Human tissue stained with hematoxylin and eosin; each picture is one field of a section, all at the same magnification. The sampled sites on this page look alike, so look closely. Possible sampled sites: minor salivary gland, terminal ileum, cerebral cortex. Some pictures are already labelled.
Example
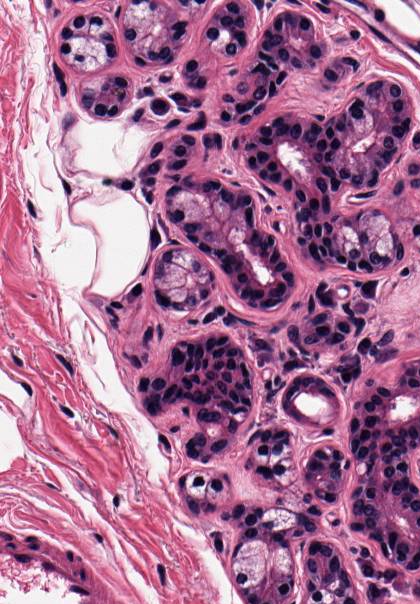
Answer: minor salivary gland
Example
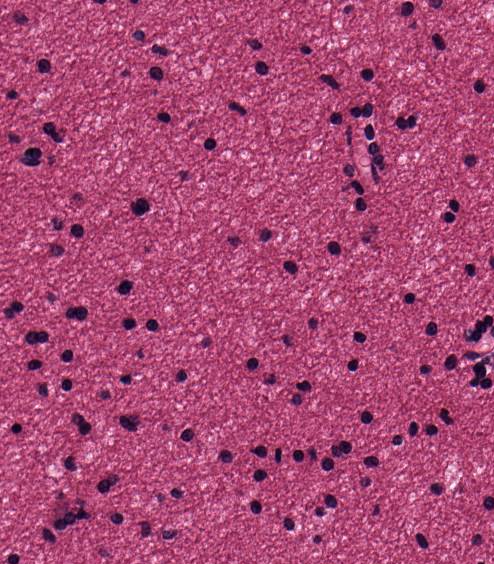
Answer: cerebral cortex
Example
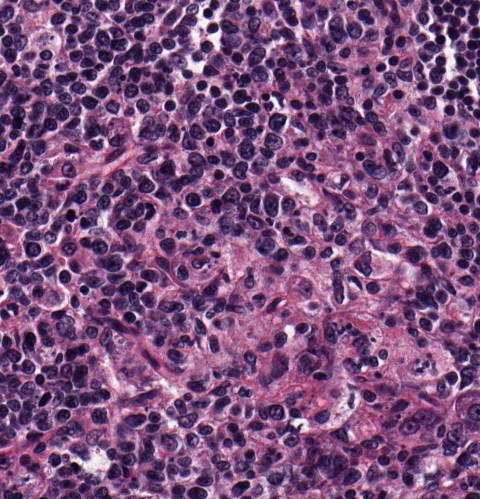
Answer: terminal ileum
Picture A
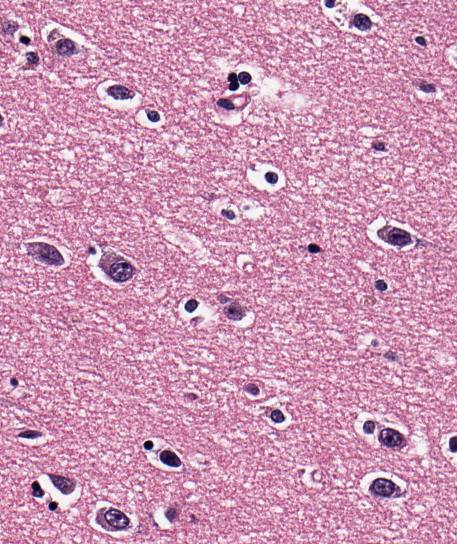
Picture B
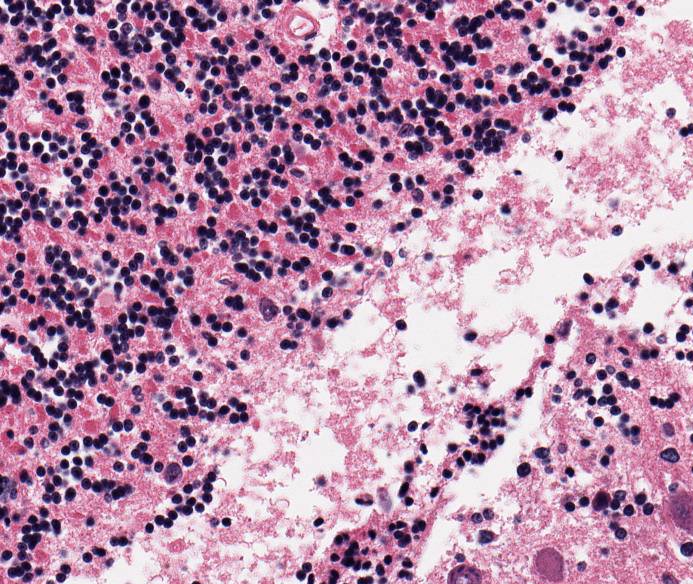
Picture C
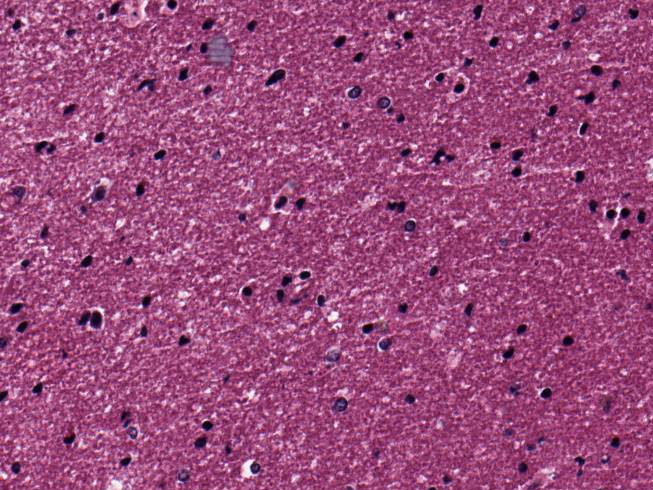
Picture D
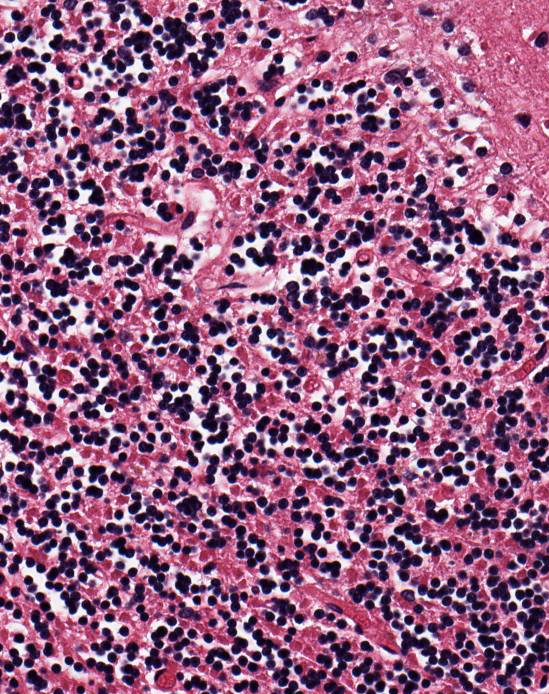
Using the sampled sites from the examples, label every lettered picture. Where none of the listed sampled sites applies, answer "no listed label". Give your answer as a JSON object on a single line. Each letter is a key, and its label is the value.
{"A": "cerebral cortex", "B": "no listed label", "C": "cerebral cortex", "D": "no listed label"}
